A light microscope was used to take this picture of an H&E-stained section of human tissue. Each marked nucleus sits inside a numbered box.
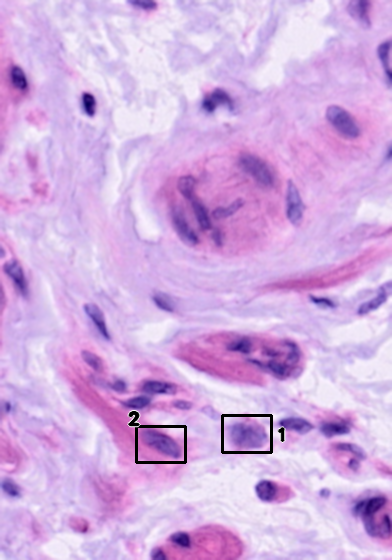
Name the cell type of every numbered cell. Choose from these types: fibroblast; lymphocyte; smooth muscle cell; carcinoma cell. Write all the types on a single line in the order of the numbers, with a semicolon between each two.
fibroblast; smooth muscle cell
